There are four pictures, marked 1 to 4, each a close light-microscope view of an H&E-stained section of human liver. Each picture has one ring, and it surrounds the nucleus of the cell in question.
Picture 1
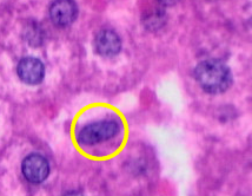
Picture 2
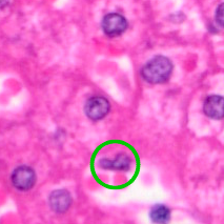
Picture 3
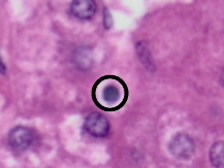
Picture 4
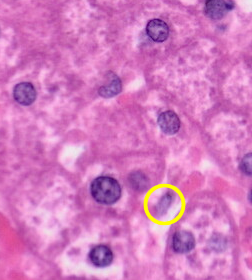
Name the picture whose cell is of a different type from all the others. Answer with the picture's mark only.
3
